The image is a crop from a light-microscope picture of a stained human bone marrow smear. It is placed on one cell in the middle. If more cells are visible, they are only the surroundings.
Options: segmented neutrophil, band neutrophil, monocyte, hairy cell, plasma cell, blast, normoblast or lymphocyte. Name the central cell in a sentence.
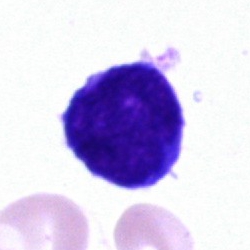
This crop is built around a blast at its centre.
